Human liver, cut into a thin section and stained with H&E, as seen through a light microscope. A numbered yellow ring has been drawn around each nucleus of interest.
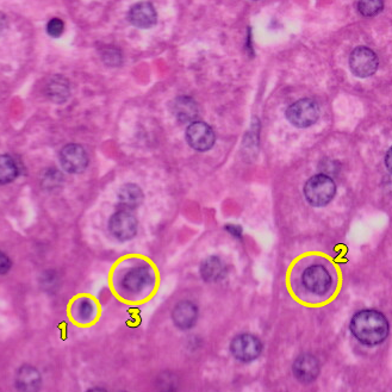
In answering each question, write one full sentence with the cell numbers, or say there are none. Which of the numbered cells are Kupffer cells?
Among the numbered cells, the one that is a Kupffer cell is cell 3 alone.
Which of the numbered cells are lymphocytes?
Cell 1 is the single numbered cell that is a lymphocyte.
